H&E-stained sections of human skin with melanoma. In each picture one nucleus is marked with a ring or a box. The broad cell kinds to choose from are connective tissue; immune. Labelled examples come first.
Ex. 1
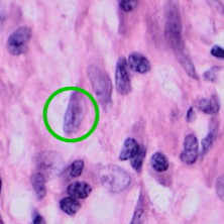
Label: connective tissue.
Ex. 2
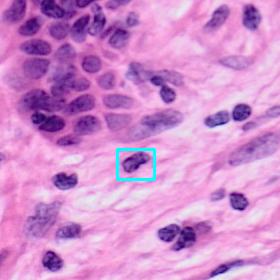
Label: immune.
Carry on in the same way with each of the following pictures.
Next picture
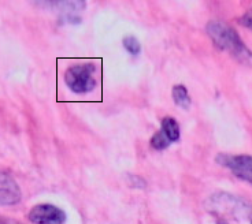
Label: immune.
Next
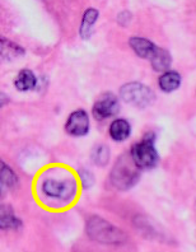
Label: immune.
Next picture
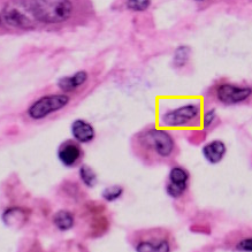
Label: immune.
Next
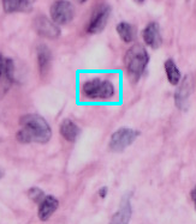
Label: immune.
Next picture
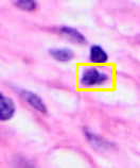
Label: immune.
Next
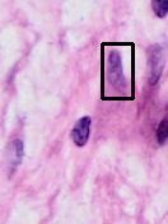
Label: connective tissue.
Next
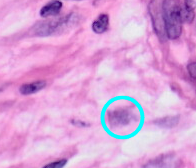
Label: connective tissue.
